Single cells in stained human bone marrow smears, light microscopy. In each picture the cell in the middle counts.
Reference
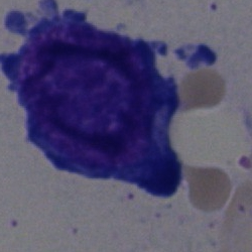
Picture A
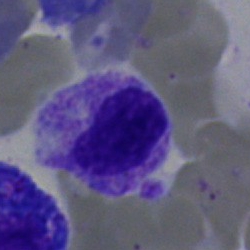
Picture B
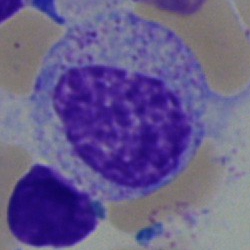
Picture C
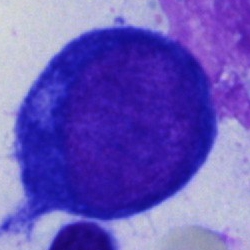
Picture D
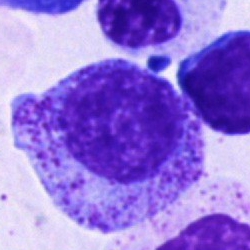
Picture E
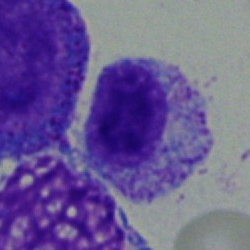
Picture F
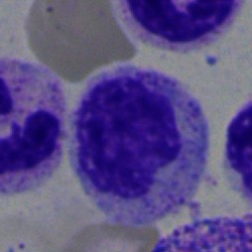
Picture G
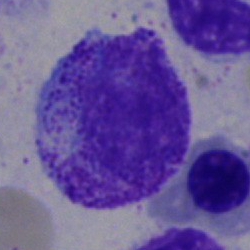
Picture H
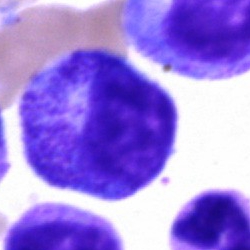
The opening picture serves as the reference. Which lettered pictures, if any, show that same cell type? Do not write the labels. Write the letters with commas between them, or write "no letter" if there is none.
C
